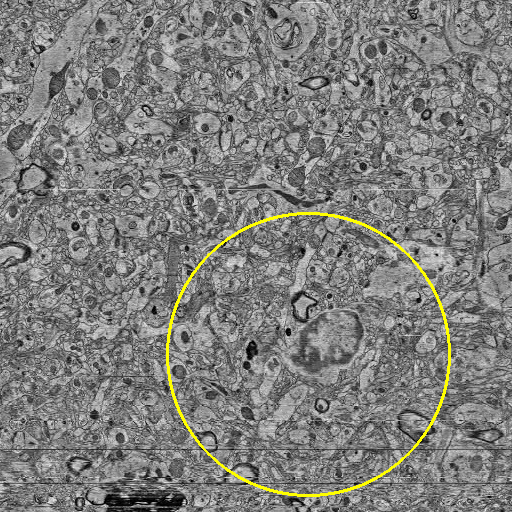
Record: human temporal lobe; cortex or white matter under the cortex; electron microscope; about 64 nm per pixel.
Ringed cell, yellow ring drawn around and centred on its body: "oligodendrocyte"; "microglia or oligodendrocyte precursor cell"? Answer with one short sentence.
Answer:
This ringed cell is a microglial cell or oligodendrocyte precursor cell.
